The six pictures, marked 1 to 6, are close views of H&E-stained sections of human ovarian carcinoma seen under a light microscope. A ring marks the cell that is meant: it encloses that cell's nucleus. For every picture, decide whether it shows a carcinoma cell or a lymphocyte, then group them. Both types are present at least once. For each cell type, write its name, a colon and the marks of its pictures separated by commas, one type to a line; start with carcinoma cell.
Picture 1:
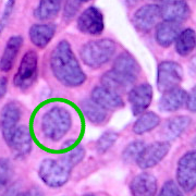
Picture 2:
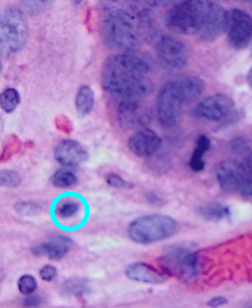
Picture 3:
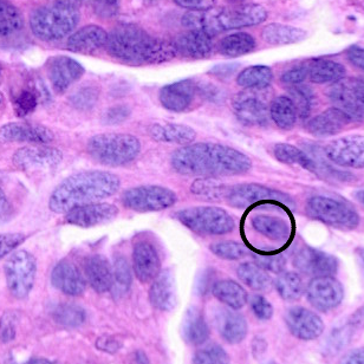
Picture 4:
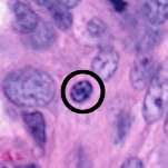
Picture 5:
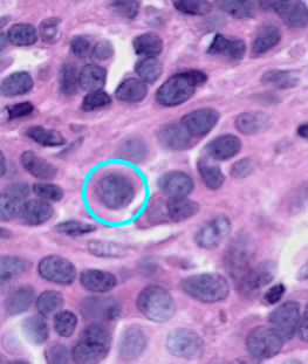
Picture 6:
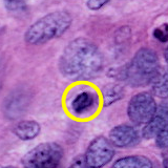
carcinoma cell: 1, 3, 5
lymphocyte: 2, 4, 6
